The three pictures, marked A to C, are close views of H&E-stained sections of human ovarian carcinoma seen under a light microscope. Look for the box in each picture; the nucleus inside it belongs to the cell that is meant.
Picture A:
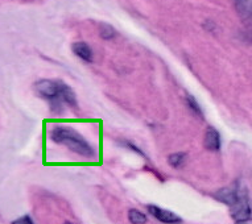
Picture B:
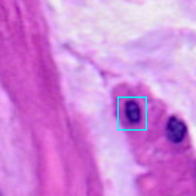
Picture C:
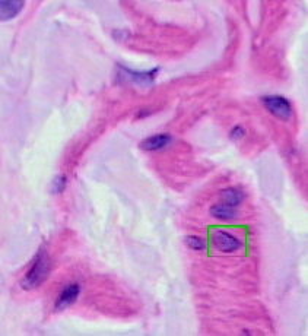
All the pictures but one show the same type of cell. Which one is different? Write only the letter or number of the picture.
A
